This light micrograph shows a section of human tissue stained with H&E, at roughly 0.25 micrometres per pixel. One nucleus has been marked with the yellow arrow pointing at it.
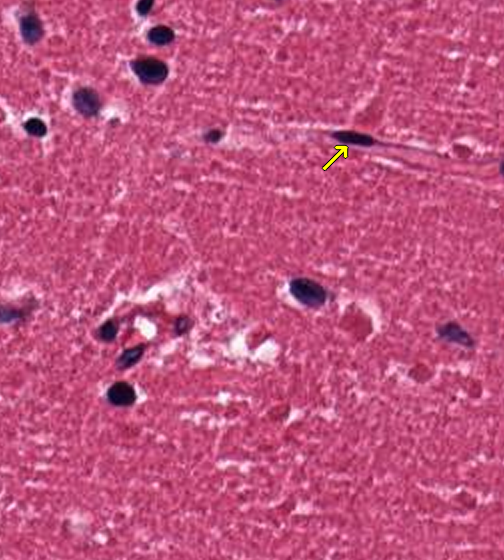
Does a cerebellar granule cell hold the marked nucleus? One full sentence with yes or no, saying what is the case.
No, the marked nucleus belongs to a supporting cell, not to a cerebellar granule cell.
